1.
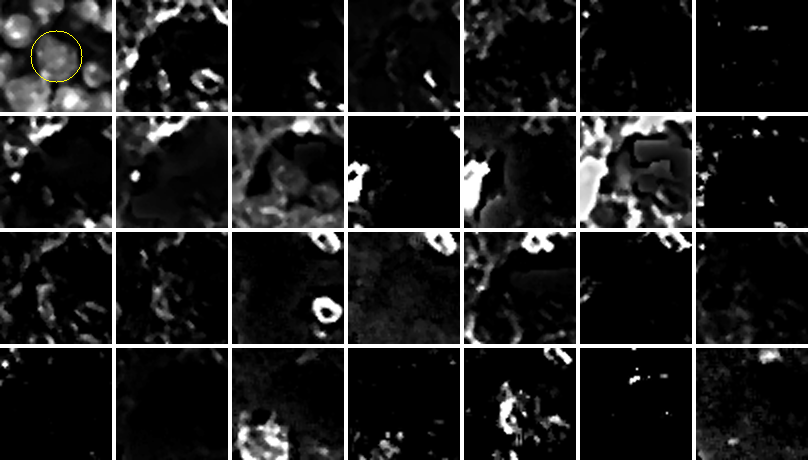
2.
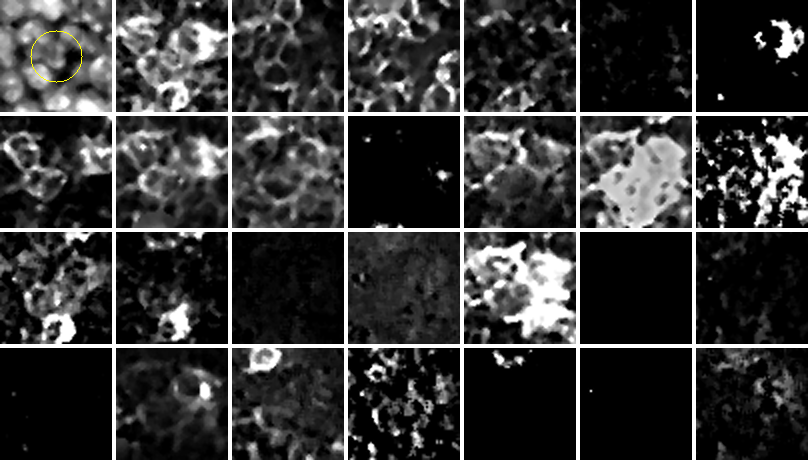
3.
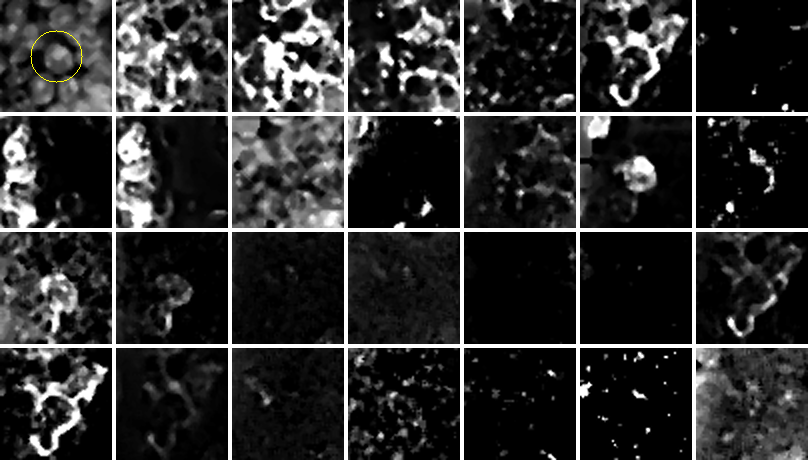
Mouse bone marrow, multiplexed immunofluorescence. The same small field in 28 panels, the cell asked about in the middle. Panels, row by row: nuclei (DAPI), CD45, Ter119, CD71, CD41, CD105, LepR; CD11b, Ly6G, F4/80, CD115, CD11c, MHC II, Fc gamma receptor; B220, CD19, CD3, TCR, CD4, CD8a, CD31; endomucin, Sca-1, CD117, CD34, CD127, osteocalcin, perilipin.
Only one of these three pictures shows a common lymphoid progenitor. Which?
Picture 1.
